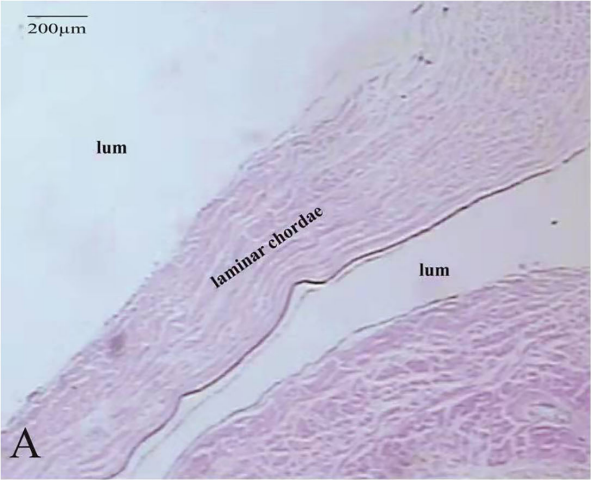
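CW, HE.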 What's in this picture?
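A band of pale pink, fibrous collagen tissue runs diagonally across the field between two open spaces. The fibres are arranged in parallel, wavy lamellae along the length of the band. A thin dark line runs along one surface of the band where it borders the lower open space. Individual nuclei are hardly distinguishable at this magnification.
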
